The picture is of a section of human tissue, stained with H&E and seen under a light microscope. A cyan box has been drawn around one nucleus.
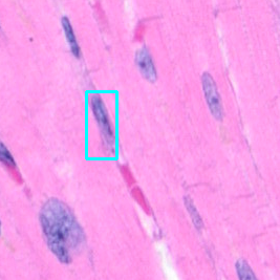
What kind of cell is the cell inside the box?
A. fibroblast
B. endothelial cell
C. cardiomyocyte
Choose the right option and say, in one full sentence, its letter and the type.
Answer with option B; the cell inside the box is an endothelial cell.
